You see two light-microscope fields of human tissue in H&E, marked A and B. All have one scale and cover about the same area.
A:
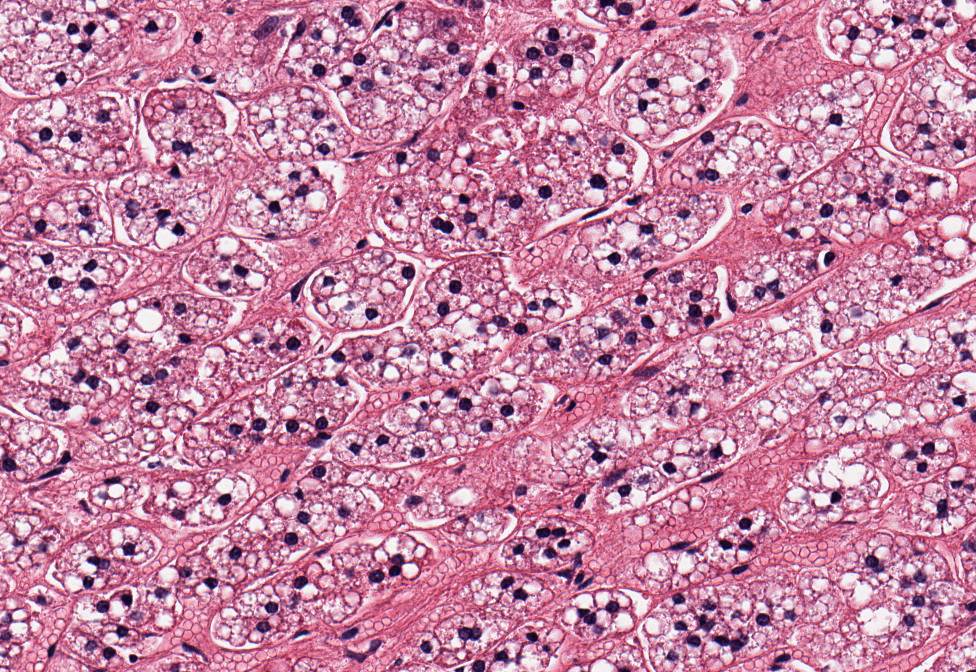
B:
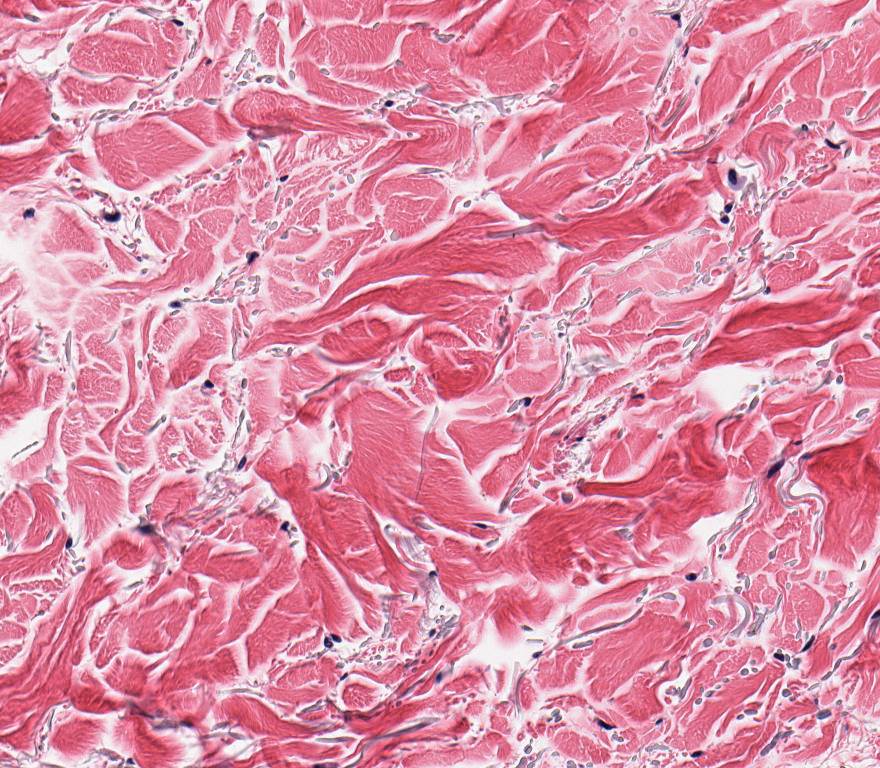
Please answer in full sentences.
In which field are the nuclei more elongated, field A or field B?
The nuclei are more elongated in field B.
